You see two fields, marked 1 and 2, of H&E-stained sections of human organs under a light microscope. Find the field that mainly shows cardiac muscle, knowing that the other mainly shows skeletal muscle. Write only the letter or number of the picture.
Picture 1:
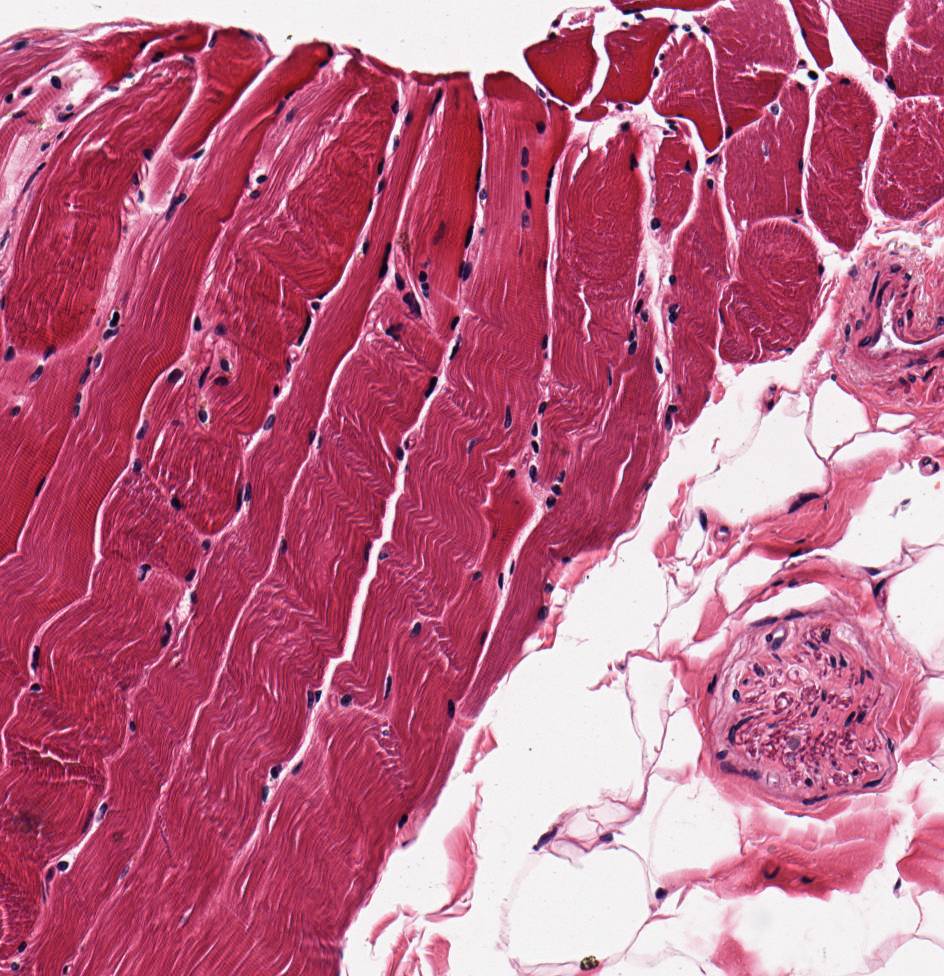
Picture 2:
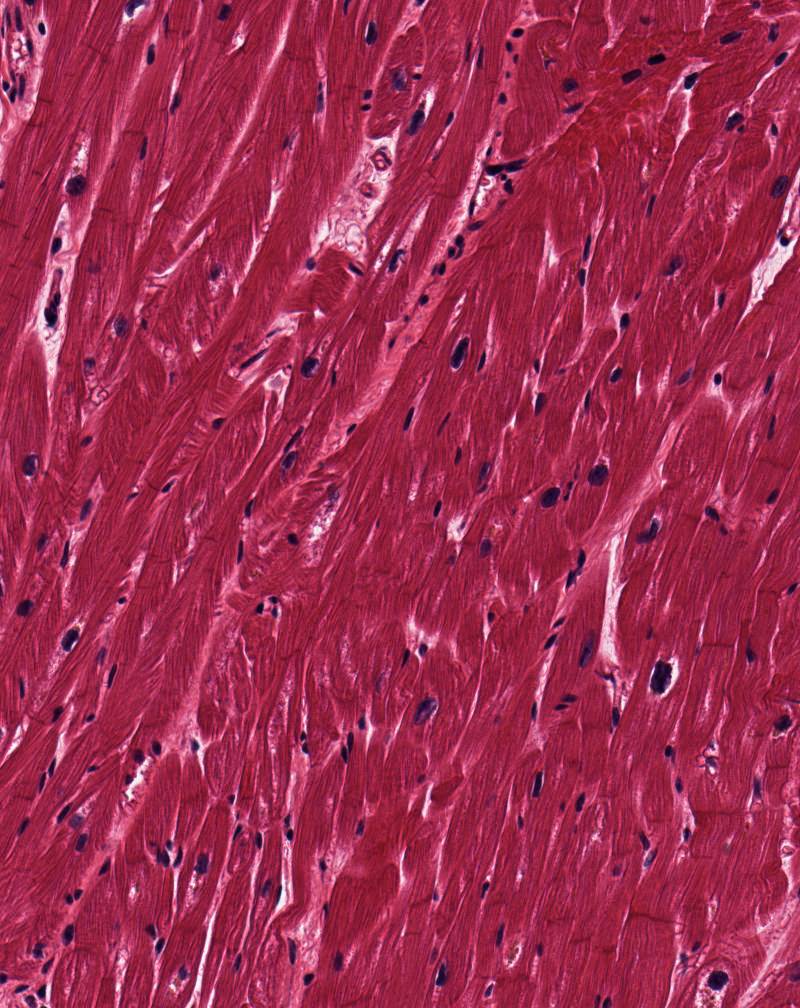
2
